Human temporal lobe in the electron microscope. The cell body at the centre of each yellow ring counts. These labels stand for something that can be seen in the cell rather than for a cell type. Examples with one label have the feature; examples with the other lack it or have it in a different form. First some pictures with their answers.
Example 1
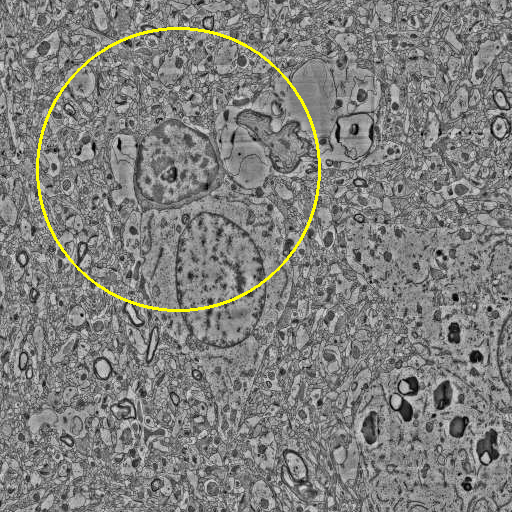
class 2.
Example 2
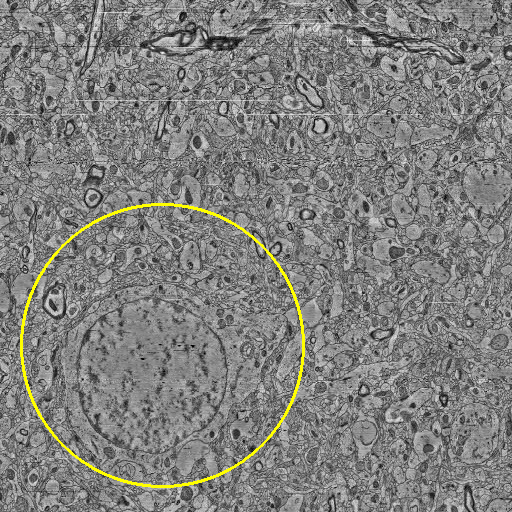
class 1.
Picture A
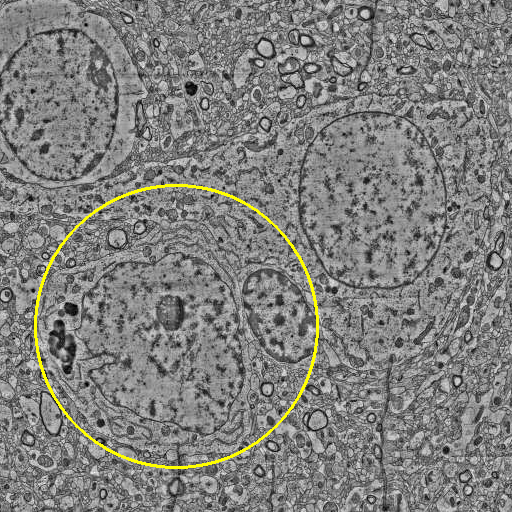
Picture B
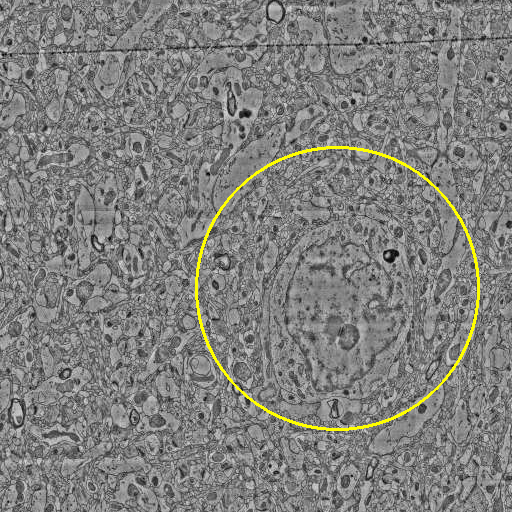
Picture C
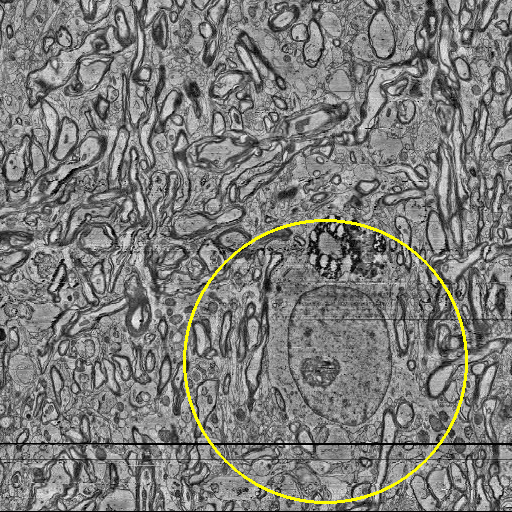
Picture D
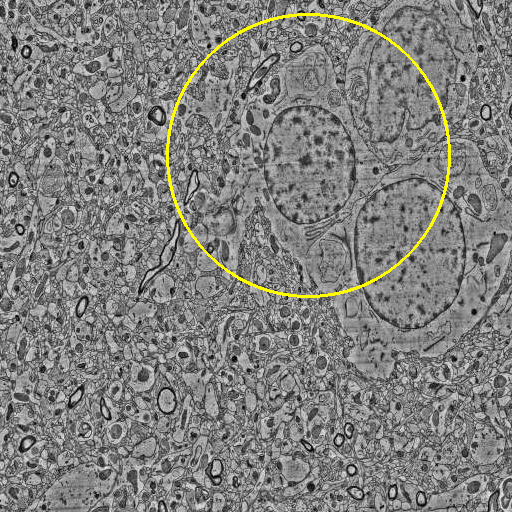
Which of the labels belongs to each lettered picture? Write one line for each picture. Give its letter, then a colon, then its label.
A: class 2.
B: class 2.
C: class 2.
D: class 1.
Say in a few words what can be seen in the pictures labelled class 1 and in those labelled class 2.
class 1, no nucleolus seen; class 2, nucleolus seen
